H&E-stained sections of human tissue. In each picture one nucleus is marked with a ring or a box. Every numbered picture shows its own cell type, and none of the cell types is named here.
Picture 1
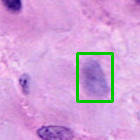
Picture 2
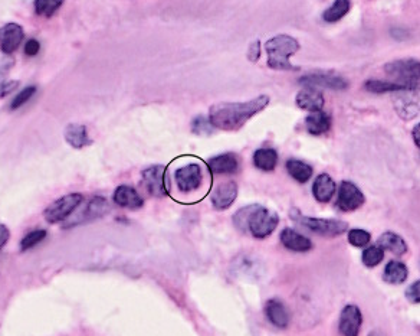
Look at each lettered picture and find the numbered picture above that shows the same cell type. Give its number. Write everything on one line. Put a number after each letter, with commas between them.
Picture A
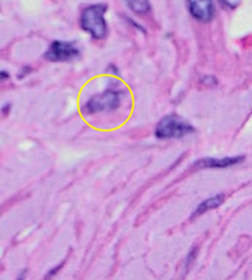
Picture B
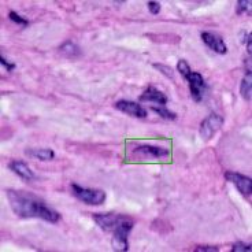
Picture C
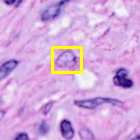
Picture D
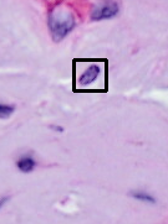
A 1, B 1, C 1, D 2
